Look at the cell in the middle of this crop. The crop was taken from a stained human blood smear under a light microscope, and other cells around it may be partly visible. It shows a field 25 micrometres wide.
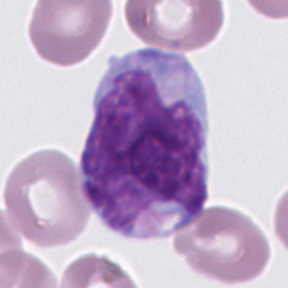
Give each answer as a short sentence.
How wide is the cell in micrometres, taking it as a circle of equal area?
The cell is about 14 micrometres across.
